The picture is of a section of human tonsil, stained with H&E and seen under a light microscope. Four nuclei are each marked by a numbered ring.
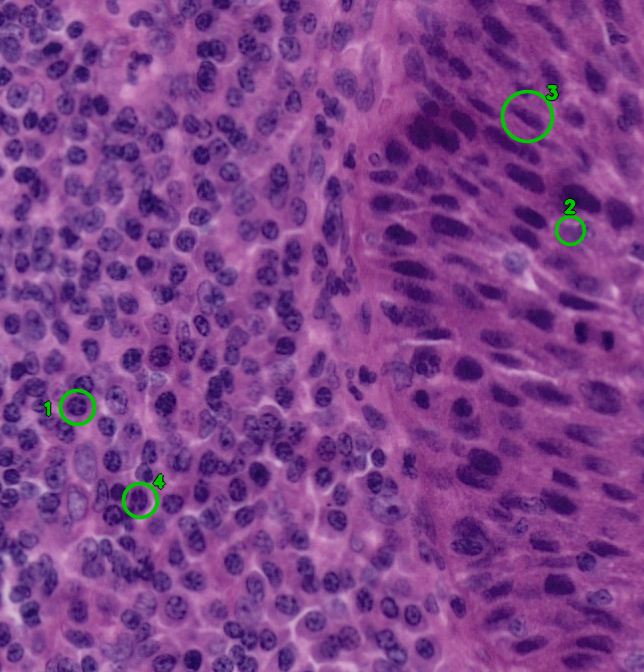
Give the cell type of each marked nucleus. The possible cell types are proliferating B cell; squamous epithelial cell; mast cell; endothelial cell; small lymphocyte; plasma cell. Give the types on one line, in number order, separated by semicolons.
plasma cell; squamous epithelial cell; squamous epithelial cell; plasma cell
